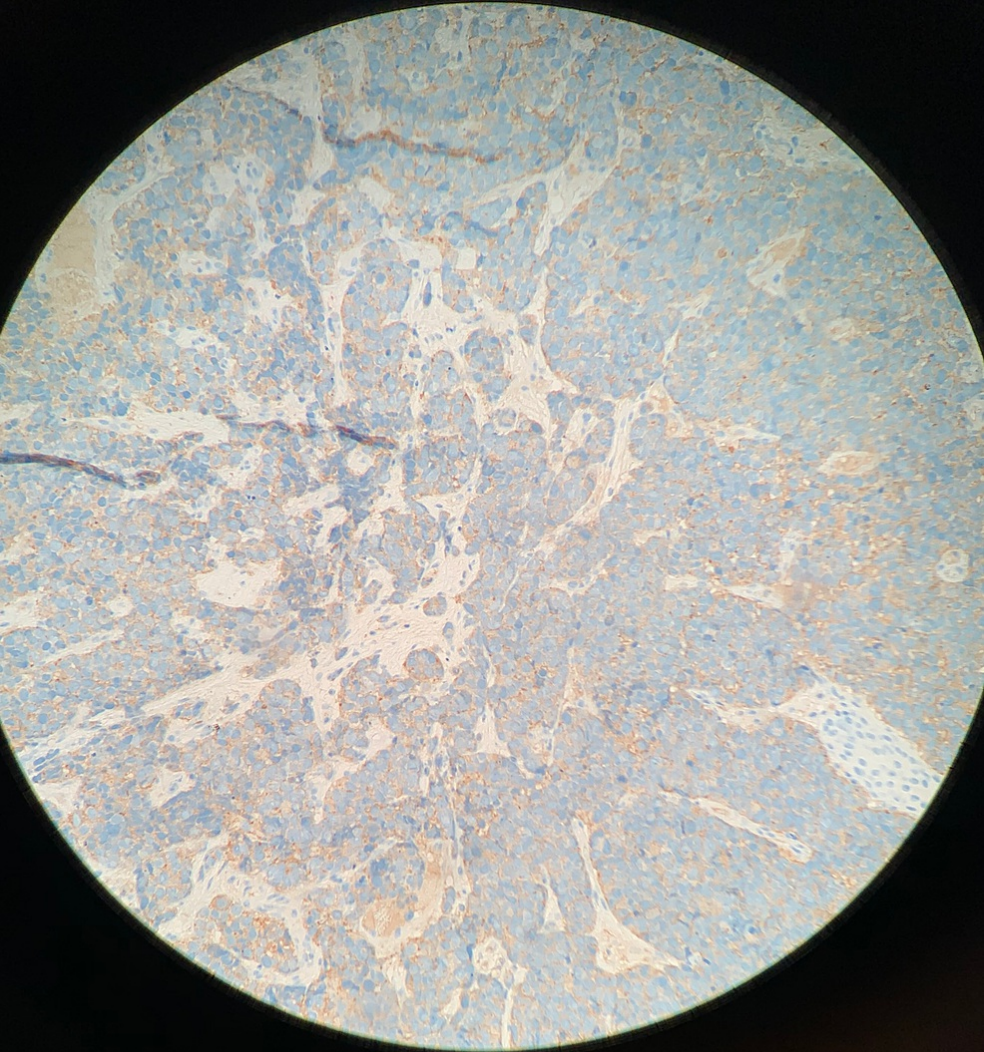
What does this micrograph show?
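This low-power field of a tumor shows closely packed, fairly uniform tumor cells arranged in solid sheets, nests and anastomosing trabeculae. The nests are separated by thin, pale strands of fibrous stroma that branch through the field. The tumor cells have small, round to oval nuclei counterstained blue and scant cytoplasm. A fine, granular brown stain is spread diffusely over the tumor cells, with the stromal strands largely unstained. A few dark folds cross the section as artefacts.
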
